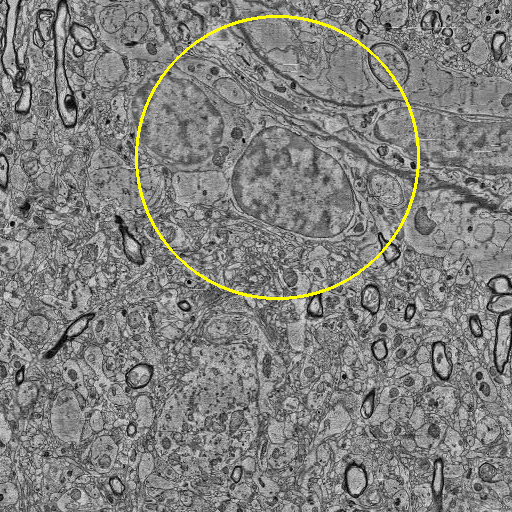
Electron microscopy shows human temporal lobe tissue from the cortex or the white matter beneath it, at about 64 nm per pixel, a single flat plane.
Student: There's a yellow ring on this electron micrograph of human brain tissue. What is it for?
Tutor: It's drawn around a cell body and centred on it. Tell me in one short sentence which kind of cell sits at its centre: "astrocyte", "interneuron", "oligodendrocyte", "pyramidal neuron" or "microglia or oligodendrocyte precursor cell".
The cell at the centre of the ring is a microglial cell or oligodendrocyte precursor cell.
